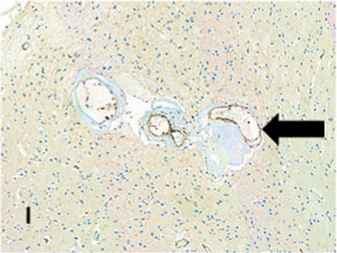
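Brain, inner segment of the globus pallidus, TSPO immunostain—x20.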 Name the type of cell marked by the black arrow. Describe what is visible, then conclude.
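The arrow points at a brown-stained rim lining the lumen of a vessel. Brown staining follows the inner lining of the vessels, inside their thick pale walls. The answer: endothelial cells.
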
